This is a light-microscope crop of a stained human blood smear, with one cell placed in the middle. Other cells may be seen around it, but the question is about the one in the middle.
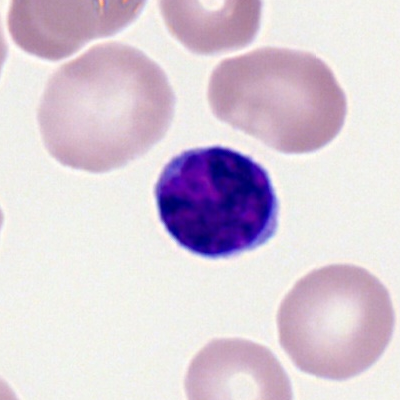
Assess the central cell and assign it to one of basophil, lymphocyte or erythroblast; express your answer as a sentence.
At the crop's centre, the cell is a lymphocyte.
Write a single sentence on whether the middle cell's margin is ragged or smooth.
The border of this cell runs smooth and free of any projections.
